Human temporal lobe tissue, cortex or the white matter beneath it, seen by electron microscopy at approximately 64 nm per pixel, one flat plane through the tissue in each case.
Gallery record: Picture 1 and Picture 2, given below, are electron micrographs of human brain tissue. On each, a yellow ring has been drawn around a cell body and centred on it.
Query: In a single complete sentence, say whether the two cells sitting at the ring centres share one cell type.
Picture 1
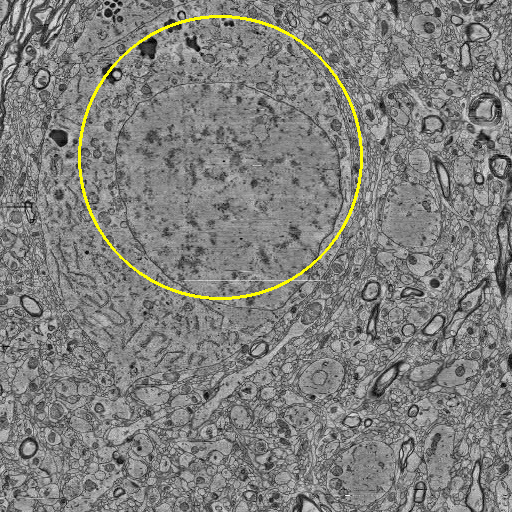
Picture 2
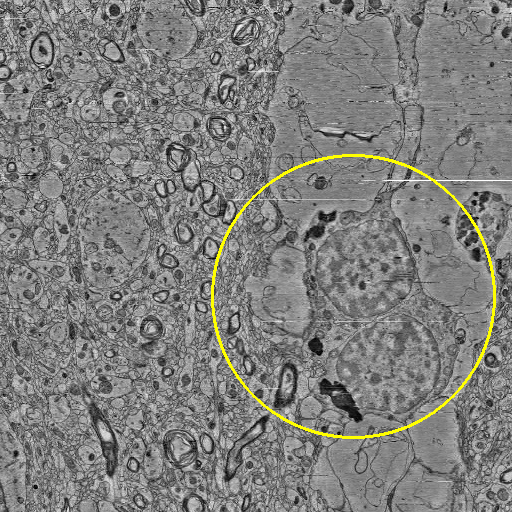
No, in the two pictures the cells at the rings' centres are of two separate types.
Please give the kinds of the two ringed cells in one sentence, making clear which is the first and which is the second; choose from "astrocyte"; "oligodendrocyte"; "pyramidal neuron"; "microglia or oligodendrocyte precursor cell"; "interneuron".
In the second picture the ringed cell is an oligodendrocyte; in the first it is a pyramidal neuron.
